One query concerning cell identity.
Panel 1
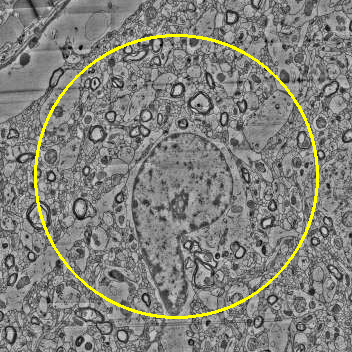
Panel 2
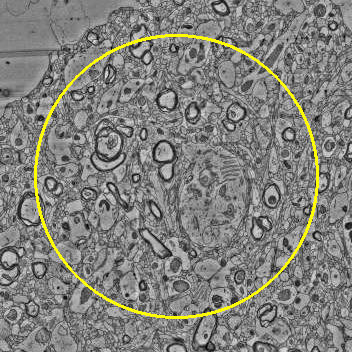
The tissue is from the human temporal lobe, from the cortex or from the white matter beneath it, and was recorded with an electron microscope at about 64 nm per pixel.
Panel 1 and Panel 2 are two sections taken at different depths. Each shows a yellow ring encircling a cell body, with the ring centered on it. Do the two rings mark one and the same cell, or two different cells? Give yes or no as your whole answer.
yes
